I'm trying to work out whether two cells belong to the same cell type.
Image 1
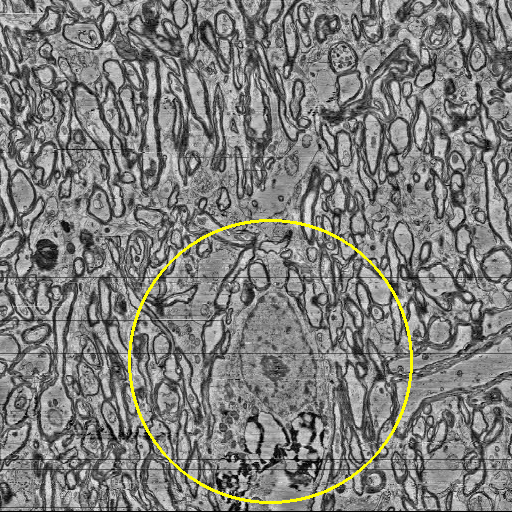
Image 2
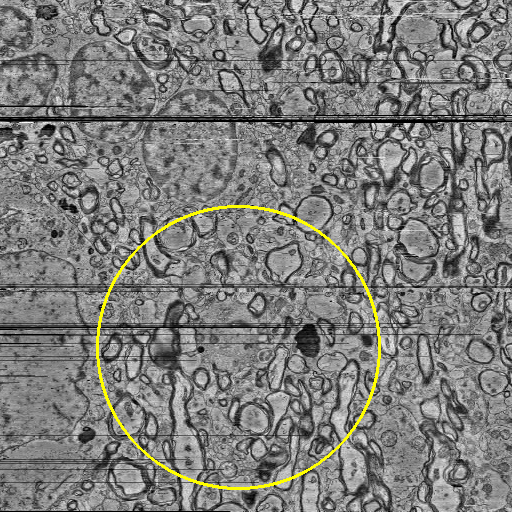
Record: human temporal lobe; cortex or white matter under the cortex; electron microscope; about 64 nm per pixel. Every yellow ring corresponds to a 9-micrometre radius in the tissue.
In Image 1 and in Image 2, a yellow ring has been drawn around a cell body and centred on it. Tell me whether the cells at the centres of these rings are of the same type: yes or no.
no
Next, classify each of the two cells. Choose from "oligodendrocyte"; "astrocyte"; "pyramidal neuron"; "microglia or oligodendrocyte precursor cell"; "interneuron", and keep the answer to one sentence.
In the first picture it is an astrocyte; in the second it is an oligodendrocyte.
